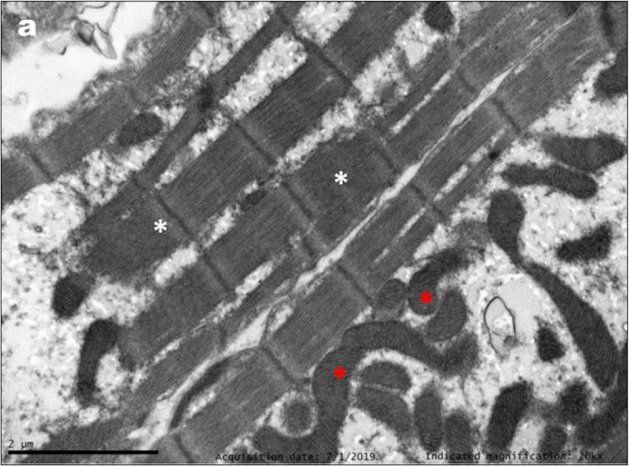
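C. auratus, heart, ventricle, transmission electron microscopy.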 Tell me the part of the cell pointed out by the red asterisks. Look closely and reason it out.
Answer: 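Dark, membrane-bound oval and elongated bodies. Fine internal lamellae visible inside them. They lie beside the striated bundles in paler cytoplasm. The answer: mitochondria.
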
